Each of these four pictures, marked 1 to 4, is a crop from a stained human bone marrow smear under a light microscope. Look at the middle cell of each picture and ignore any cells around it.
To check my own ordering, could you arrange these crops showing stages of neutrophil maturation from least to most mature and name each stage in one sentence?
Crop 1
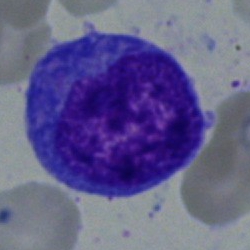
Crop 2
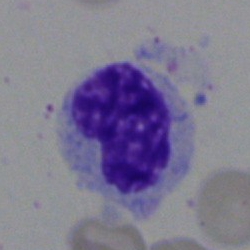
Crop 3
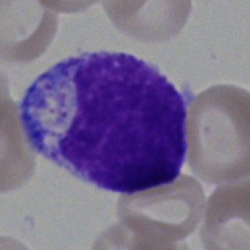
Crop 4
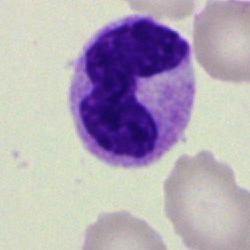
Ordered from the youngest stage to the most mature, the crops are crop 1 (a promyelocyte), crop 3 (a myelocyte), crop 2 (a metamyelocyte) and crop 4 (a band neutrophil).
